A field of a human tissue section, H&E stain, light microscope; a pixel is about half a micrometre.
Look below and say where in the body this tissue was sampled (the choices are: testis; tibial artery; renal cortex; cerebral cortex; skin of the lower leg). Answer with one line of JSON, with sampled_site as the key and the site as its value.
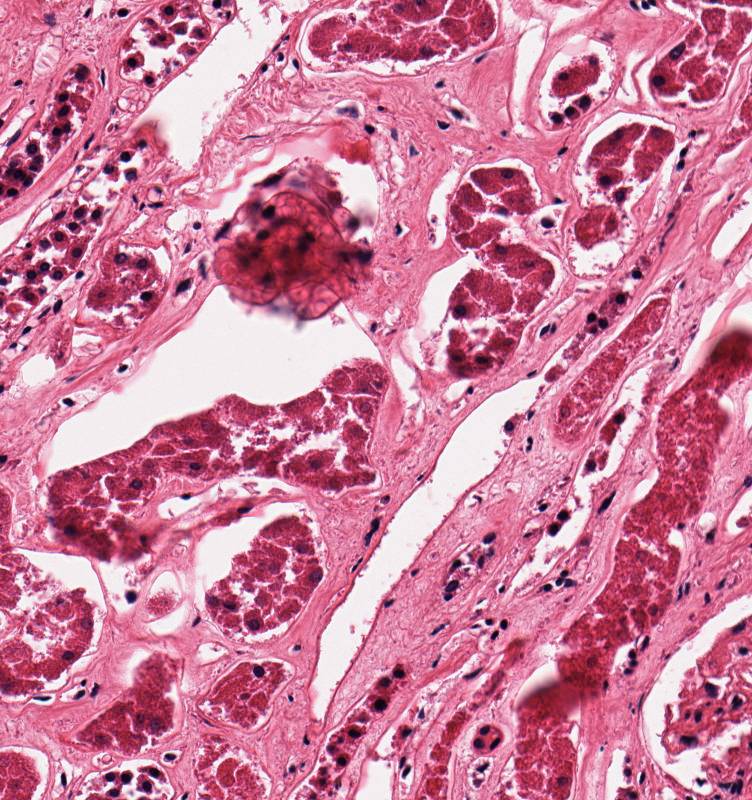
{"sampled_site": "renal cortex"}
